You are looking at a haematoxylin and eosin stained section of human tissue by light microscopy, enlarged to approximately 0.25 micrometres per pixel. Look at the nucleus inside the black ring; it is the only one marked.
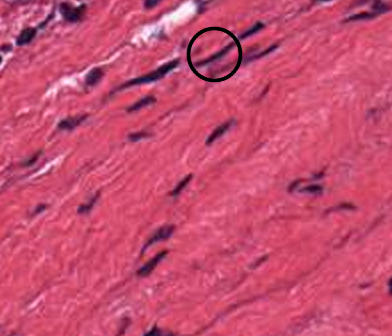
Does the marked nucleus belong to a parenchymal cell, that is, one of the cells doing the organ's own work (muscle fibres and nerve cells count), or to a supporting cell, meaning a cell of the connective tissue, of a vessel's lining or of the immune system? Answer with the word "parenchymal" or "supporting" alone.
supporting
